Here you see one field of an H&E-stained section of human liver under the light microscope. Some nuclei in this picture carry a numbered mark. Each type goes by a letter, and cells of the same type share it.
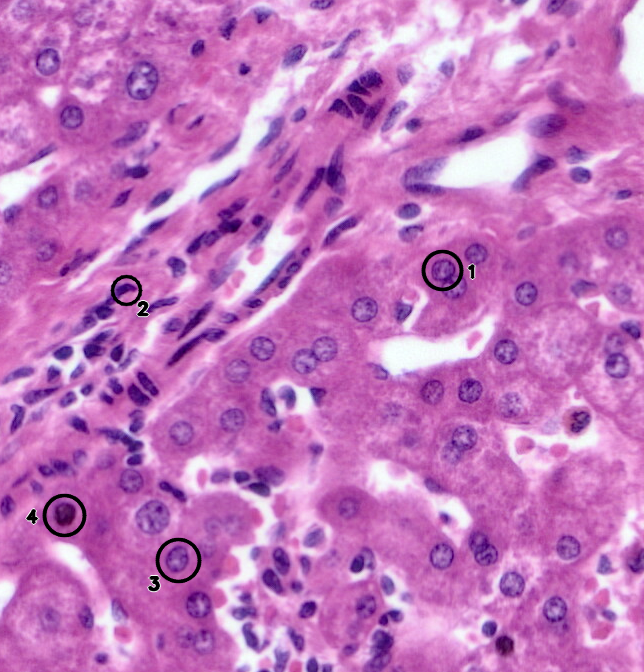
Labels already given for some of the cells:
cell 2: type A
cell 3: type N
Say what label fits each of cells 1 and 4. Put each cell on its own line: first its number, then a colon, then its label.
1: type N
4: type N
